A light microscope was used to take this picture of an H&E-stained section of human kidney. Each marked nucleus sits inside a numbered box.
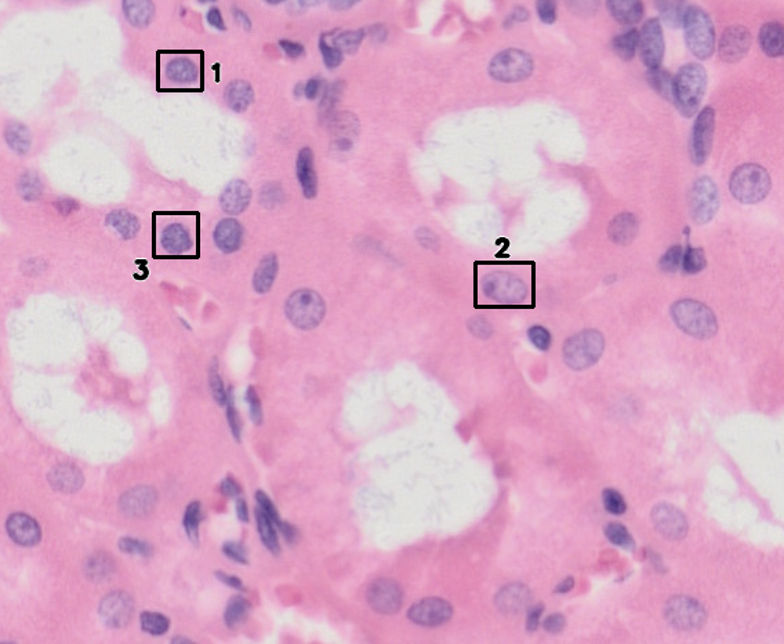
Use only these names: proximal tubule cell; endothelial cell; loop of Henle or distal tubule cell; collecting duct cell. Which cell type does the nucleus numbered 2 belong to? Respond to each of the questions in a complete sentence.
The cell referenced by the number 2 is a proximal tubule cell in this field.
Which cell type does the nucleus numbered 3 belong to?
The nucleus with number 3 is that of a loop of Henle or distal tubule cell.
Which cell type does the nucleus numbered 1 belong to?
The one labeled 1 is a loop of Henle or distal tubule cell, to put it simply.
